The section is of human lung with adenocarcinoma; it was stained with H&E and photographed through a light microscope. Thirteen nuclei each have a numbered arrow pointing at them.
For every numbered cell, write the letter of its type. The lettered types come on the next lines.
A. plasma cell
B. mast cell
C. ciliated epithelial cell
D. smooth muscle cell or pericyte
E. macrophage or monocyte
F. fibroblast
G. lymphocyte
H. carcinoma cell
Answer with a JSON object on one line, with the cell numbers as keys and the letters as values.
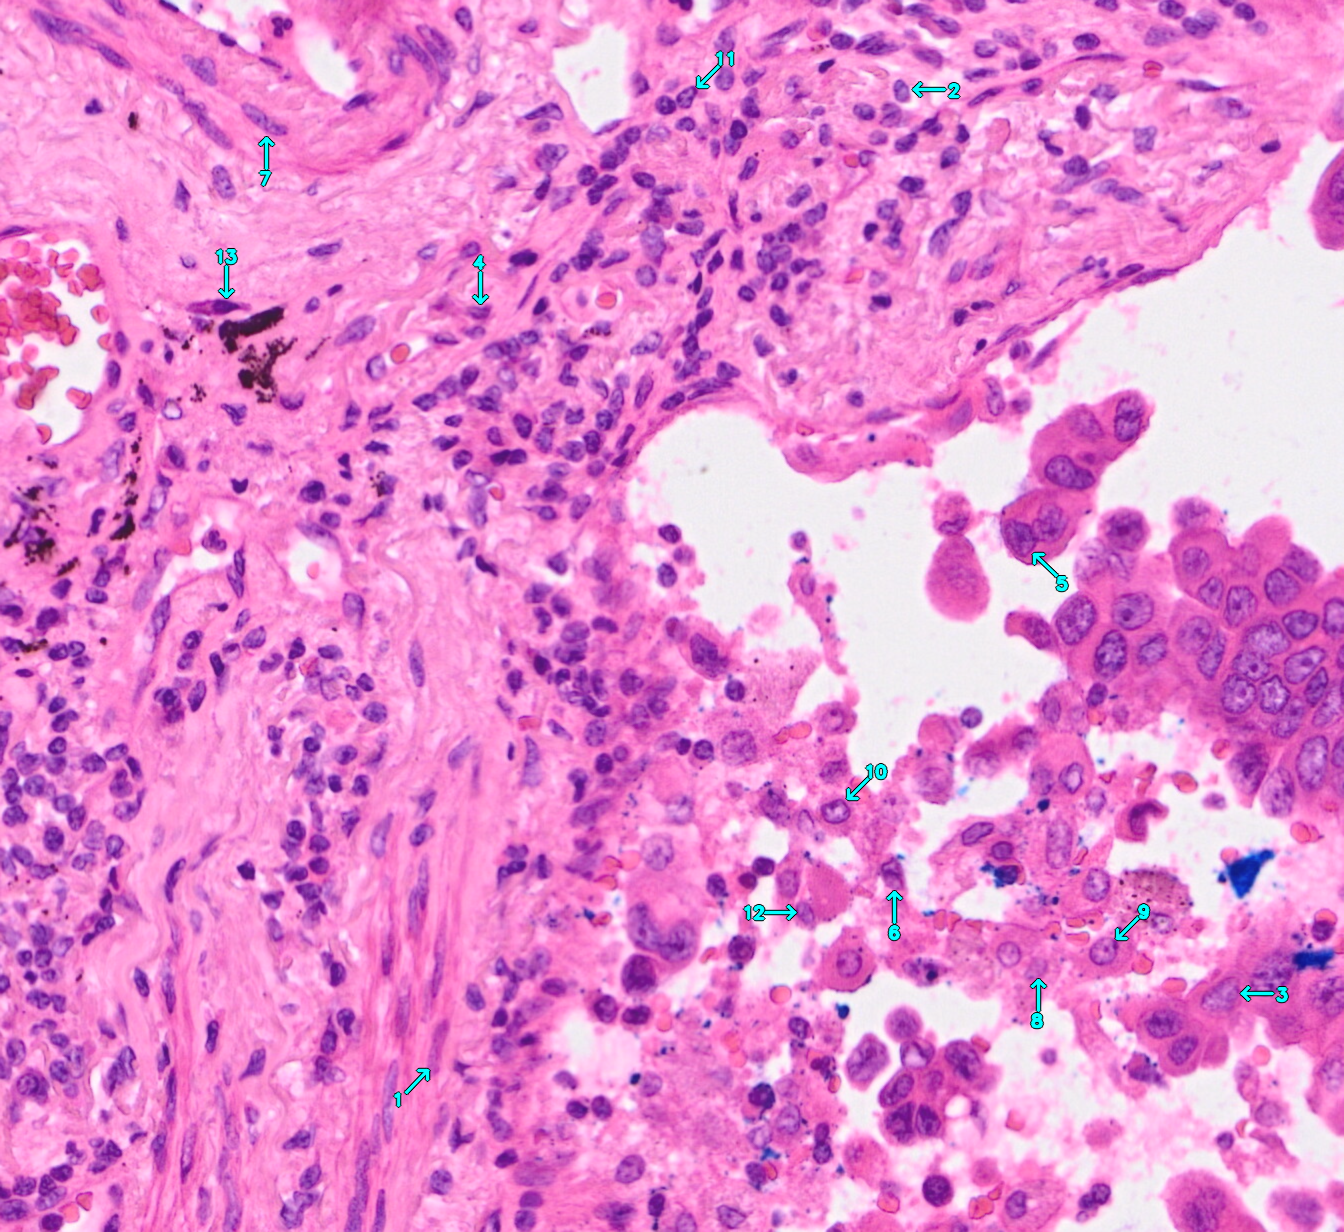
{"1": "D", "2": "G", "3": "H", "4": "A", "5": "H", "6": "E", "7": "D", "8": "E", "9": "E", "10": "E", "11": "G", "12": "E", "13": "A"}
